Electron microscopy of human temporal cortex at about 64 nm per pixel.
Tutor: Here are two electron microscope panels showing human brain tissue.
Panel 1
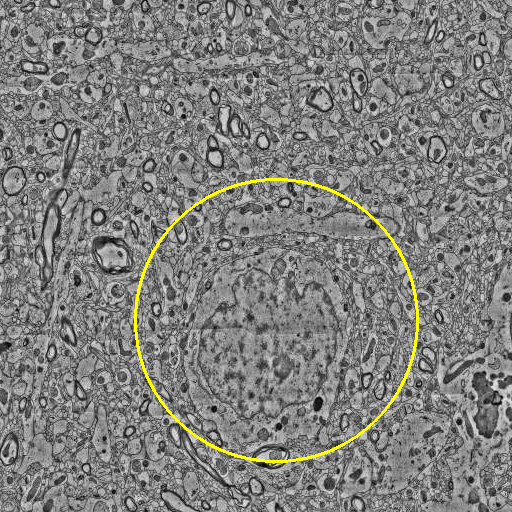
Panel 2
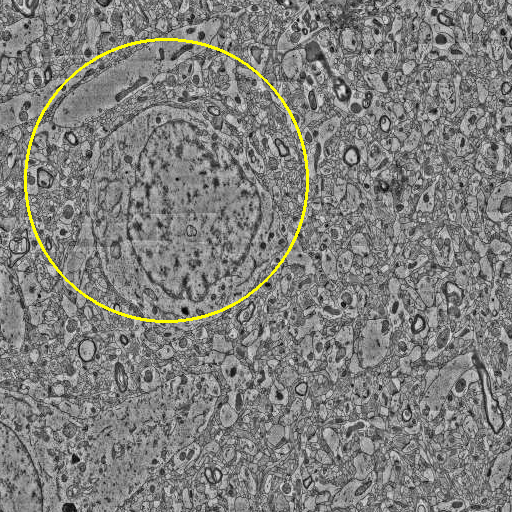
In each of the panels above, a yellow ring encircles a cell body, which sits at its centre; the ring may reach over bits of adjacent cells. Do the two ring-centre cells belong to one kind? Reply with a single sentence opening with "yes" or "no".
Yes, the two cells sitting at the ring centres in the panels belong to one kind.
